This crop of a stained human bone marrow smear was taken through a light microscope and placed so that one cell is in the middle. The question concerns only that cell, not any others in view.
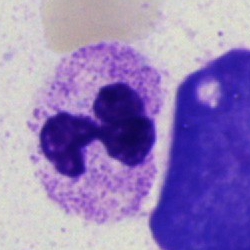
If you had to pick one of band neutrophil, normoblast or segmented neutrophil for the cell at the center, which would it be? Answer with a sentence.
Regarding the central cell, it is a segmented neutrophil.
